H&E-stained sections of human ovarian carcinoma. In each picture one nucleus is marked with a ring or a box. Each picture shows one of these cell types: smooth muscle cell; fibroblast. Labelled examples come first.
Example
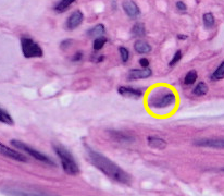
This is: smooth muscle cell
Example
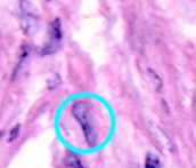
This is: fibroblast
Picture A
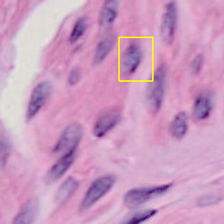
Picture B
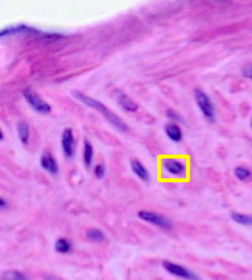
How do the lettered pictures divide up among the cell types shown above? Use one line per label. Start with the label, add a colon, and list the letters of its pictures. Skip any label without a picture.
smooth muscle cell: A, B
